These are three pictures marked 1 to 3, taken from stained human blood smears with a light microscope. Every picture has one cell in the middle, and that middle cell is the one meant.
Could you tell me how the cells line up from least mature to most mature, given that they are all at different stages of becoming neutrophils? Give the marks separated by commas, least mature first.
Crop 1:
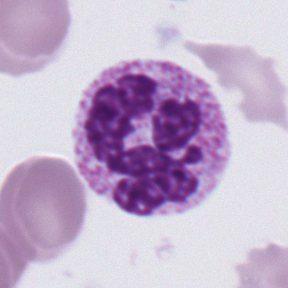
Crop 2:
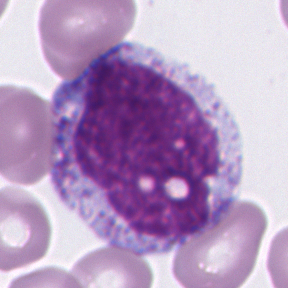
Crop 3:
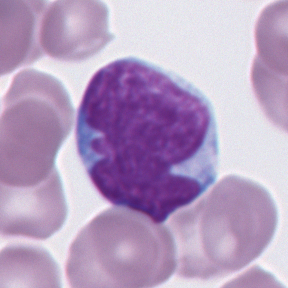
3, 2, 1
